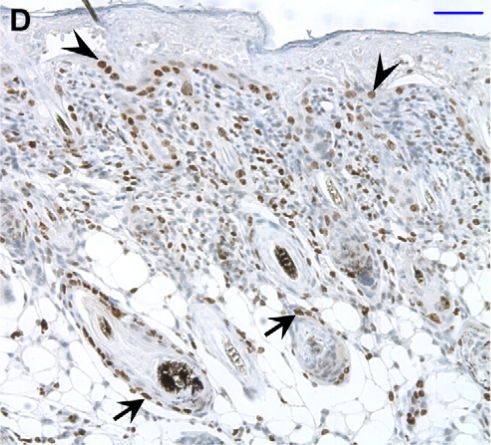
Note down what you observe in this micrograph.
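Brown-stained nuclei form a row at the base of the surface epithelium and are numerous throughout the dermis. Hair follicles are seen in cross and oblique section, some with pigmented shafts; a few follicles lie near the fat and contain dark stained cells at their bases, surrounded by cells with brown nuclei. Many follicles are small and lie high in the dermis. Other nuclei are counterstained blue, and the fat cells appear as clear, thin-walled spaces.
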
